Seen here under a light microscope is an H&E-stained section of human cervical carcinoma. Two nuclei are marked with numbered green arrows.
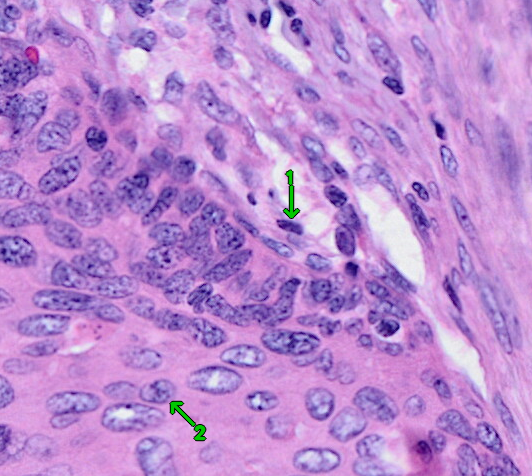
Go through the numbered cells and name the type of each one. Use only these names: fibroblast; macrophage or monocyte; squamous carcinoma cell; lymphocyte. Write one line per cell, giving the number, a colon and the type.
1: lymphocyte
2: squamous carcinoma cell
